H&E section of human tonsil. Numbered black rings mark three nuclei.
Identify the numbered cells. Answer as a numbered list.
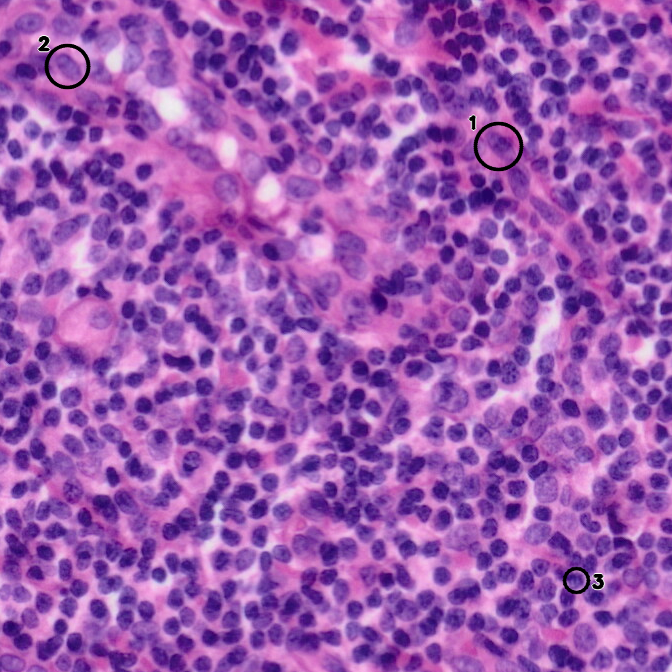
1. endothelial cell
2. endothelial cell
3. small lymphocyte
